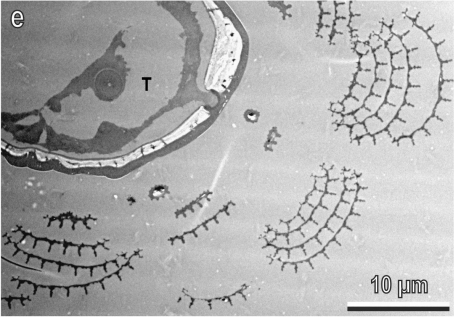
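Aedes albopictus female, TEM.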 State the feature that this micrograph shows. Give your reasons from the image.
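Groups of curved, stacked dense profiles lie beside a large round section. Each curved profile bears short regular projections. On this evidence: overlapping four to five convex scales.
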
